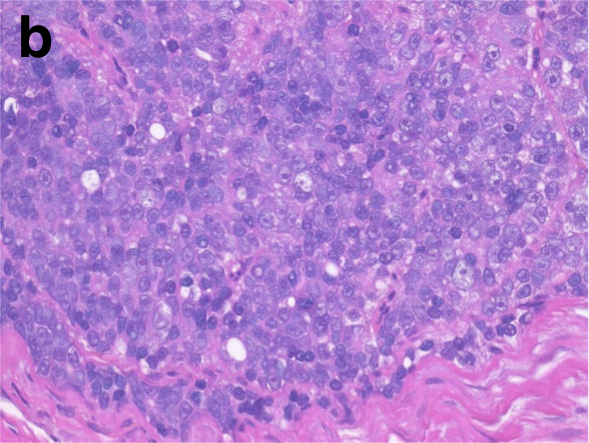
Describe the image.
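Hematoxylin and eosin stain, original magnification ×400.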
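Here we look at a sheet of tumor cells packed tightly together in a solid nest, with a band of pink, wavy fibrous stroma along the lower right edge. The cells have large round to oval nuclei, many pale and vesicular with visible nucleoli, and only a modest rim of pale pink cytoplasm; cell borders are indistinct. Scattered through the sheet are a few small round clear spaces, tiny lumens that hint at an attempt to form glands. Some nuclei are darker and more crowded, and the overall picture is of a poorly organised, crowded epithelial growth.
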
